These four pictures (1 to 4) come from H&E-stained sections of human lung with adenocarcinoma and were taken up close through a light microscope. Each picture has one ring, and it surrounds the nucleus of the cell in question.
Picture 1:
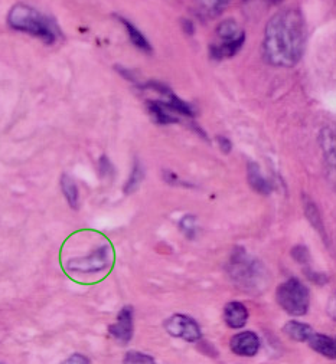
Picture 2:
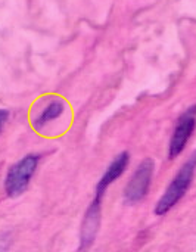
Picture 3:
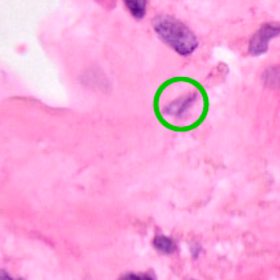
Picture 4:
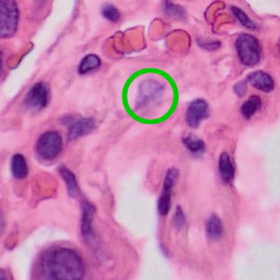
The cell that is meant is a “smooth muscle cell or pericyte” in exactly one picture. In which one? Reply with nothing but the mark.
2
